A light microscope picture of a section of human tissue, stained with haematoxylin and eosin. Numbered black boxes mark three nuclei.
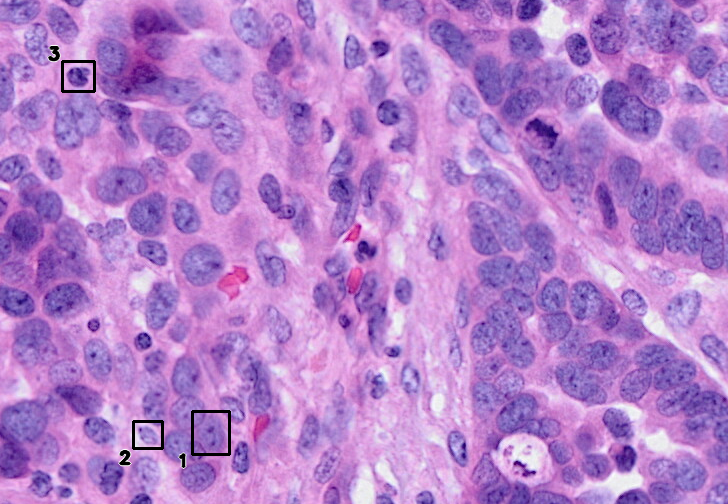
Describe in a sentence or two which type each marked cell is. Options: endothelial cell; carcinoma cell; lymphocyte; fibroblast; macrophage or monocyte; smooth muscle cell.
Cell 1 is a carcinoma cell, cell 2 is a macrophage or monocyte and cell 3 is a lymphocyte.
